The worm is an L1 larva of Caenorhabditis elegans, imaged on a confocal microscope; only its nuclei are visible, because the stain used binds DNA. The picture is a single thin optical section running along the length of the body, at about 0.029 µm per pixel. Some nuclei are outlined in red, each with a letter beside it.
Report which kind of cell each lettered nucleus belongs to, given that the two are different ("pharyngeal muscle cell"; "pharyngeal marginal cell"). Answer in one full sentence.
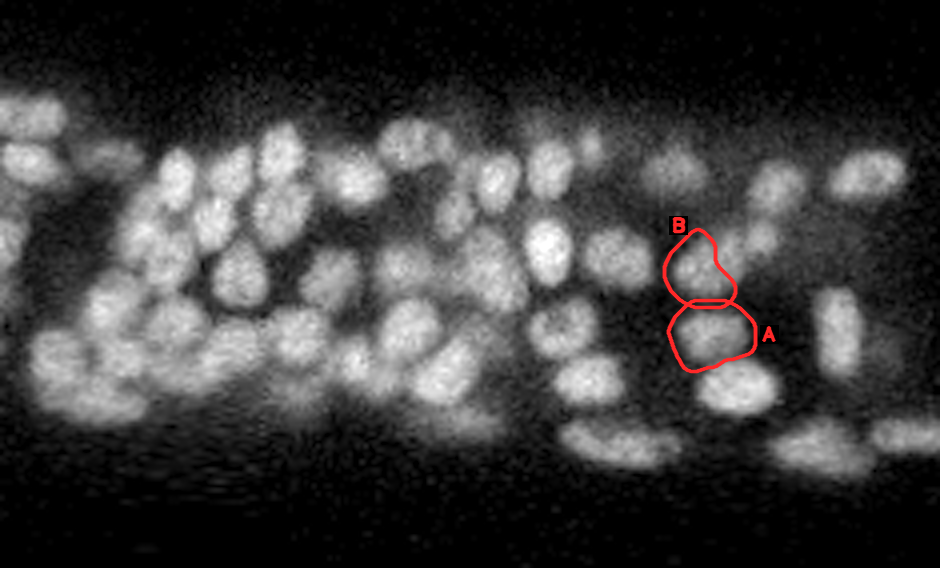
A is in a pharyngeal marginal cell and B is in a pharyngeal muscle cell.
